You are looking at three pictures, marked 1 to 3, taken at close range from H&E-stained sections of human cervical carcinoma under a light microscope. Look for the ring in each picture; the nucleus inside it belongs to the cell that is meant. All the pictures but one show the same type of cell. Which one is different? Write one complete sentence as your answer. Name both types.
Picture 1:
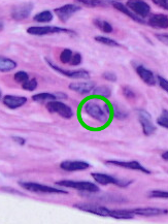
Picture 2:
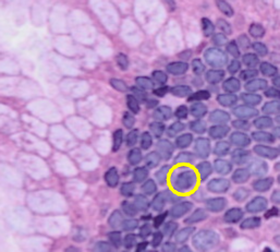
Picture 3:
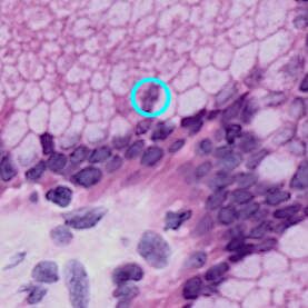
The others show secretory epithelial cells, but picture 1 shows an endothelial cell.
